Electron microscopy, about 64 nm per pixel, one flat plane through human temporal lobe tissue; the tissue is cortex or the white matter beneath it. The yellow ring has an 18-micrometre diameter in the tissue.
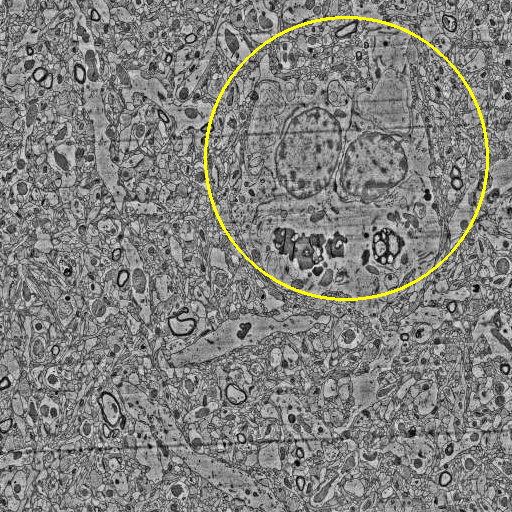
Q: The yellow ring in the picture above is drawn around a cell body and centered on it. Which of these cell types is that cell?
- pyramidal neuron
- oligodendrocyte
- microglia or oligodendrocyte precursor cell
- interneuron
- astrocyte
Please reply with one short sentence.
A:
The cell body at the ring's center belongs to a microglial cell or oligodendrocyte precursor cell.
